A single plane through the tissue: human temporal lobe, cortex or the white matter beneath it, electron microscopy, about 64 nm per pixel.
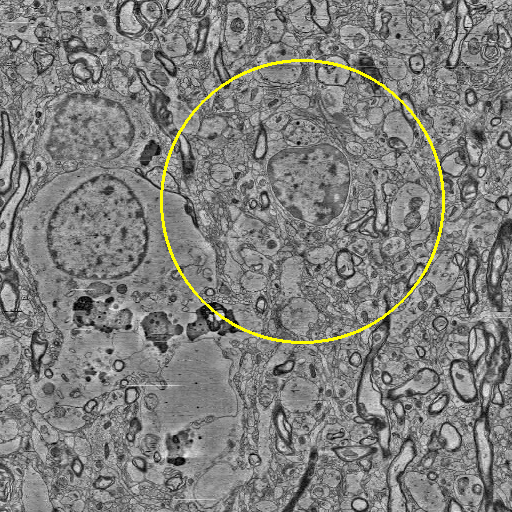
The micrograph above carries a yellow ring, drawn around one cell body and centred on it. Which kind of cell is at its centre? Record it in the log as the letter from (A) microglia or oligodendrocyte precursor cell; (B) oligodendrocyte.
A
